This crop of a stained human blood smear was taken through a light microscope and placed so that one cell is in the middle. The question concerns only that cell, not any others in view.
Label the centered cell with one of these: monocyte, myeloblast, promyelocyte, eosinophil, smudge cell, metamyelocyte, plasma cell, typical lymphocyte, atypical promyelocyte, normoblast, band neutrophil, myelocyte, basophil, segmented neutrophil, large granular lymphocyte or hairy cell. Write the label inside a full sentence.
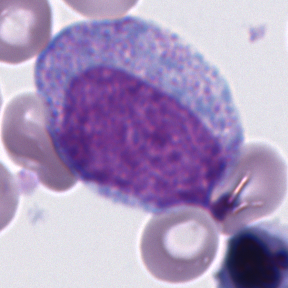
At the crop's centre, the cell is a promyelocyte.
